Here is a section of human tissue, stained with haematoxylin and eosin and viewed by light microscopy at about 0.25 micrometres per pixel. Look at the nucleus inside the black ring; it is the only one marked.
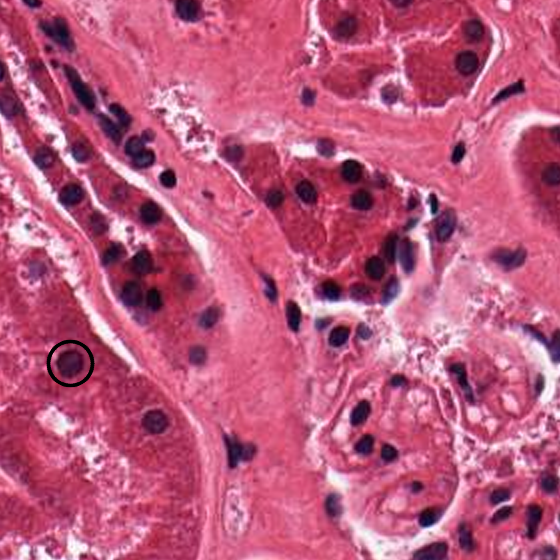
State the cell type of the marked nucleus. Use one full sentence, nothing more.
Belonging to a proximal tubule cell is the marked nucleus.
